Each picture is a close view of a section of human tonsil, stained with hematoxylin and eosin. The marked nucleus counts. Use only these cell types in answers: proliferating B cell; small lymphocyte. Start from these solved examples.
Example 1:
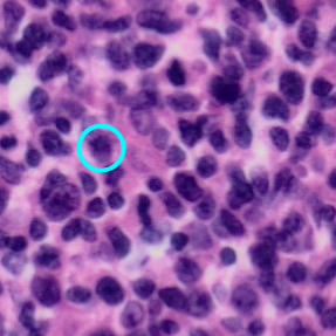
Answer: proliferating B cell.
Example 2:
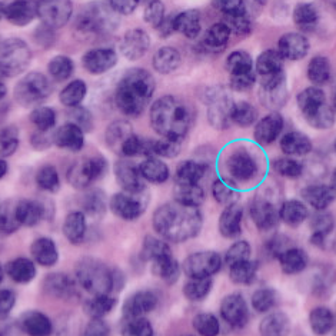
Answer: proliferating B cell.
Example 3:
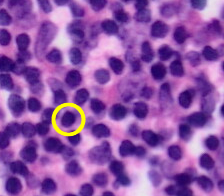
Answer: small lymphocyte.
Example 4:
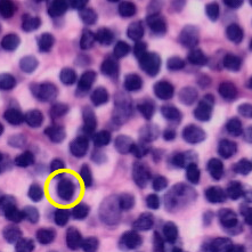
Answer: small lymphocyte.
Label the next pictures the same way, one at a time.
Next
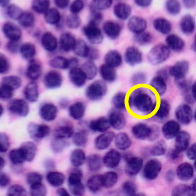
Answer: small lymphocyte.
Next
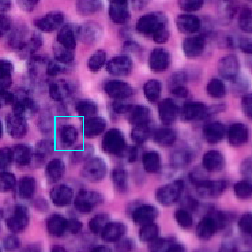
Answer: small lymphocyte.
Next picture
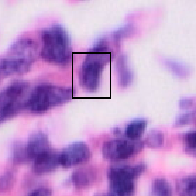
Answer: proliferating B cell.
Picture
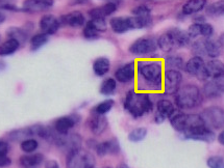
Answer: proliferating B cell.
